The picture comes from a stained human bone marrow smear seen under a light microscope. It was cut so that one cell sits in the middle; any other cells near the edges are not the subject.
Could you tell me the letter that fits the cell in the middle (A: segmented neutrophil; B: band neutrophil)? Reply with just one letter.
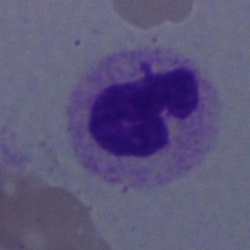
A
